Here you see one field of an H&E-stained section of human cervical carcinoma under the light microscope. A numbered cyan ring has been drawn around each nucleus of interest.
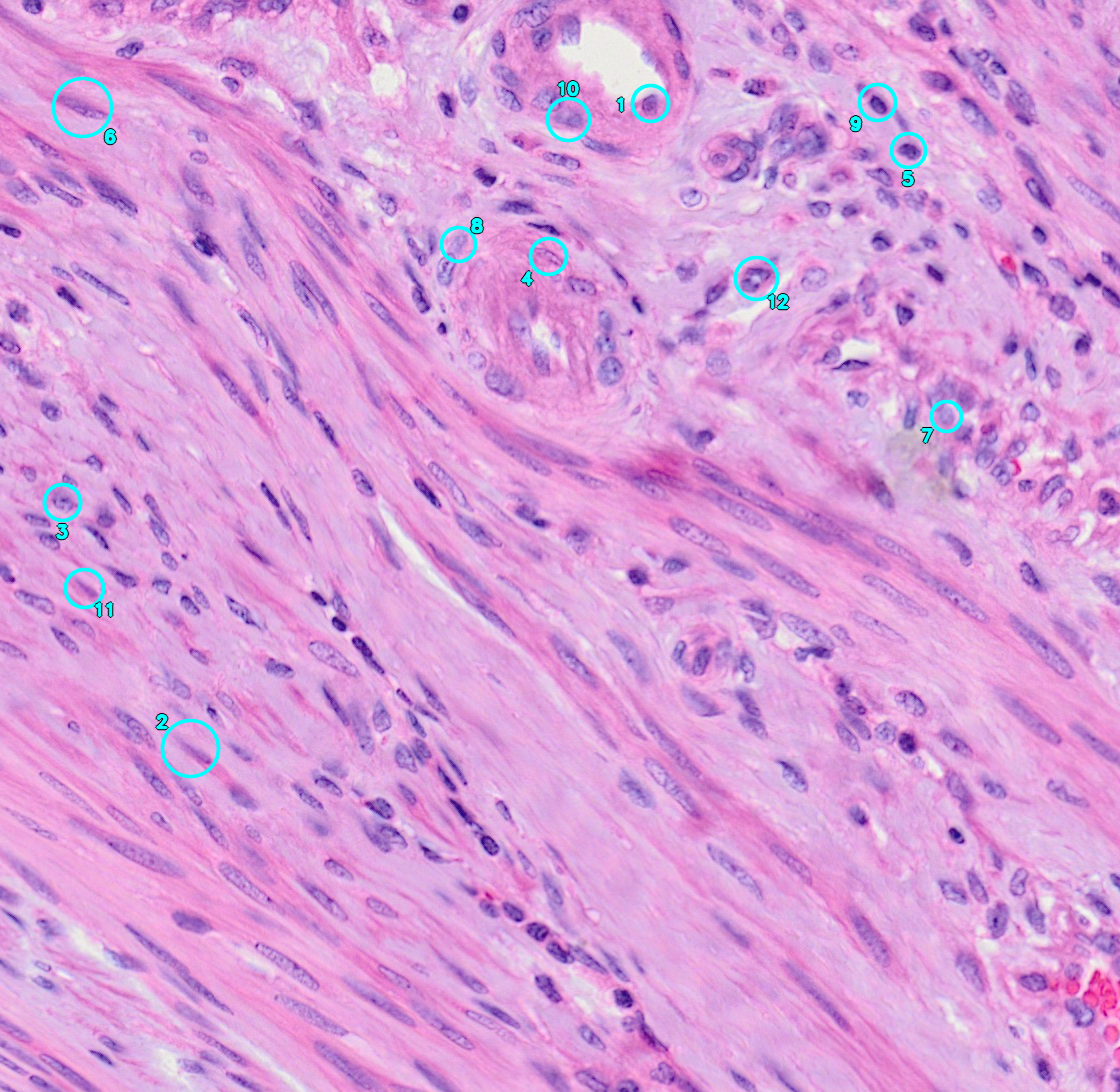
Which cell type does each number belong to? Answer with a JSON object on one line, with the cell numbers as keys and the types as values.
{"1": "endothelial cell", "2": "smooth muscle cell", "3": "smooth muscle cell", "4": "smooth muscle cell", "5": "lymphocyte", "6": "smooth muscle cell", "7": "endothelial cell", "8": "smooth muscle cell", "9": "lymphocyte", "10": "smooth muscle cell", "11": "smooth muscle cell", "12": "endothelial cell"}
